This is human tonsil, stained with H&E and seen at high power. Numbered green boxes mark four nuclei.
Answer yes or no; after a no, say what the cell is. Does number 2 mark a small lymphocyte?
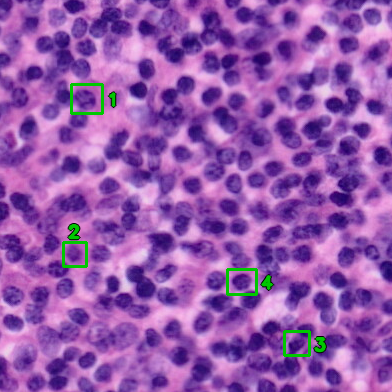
No, it is a plasma cell.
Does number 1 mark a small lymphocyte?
No, it is a plasma cell.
